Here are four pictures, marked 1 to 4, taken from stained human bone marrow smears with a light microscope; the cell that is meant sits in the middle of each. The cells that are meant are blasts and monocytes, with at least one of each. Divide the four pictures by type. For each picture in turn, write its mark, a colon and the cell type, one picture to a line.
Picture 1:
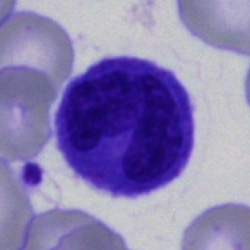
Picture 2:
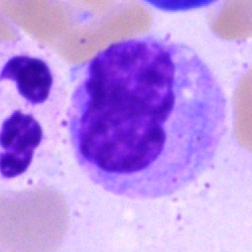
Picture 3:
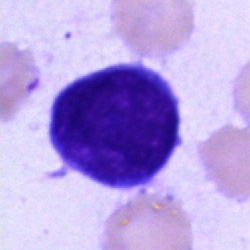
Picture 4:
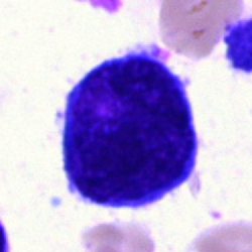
1: monocyte
2: monocyte
3: blast
4: blast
